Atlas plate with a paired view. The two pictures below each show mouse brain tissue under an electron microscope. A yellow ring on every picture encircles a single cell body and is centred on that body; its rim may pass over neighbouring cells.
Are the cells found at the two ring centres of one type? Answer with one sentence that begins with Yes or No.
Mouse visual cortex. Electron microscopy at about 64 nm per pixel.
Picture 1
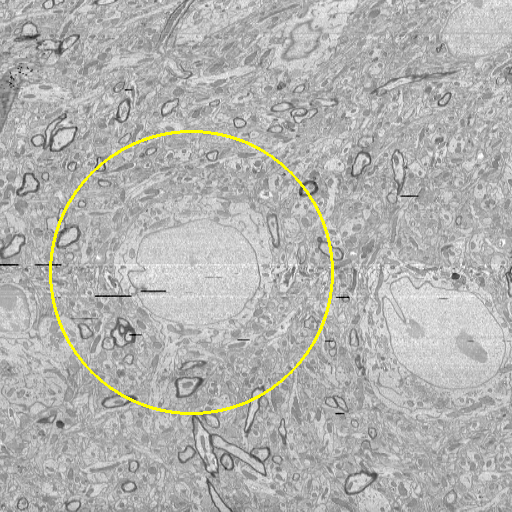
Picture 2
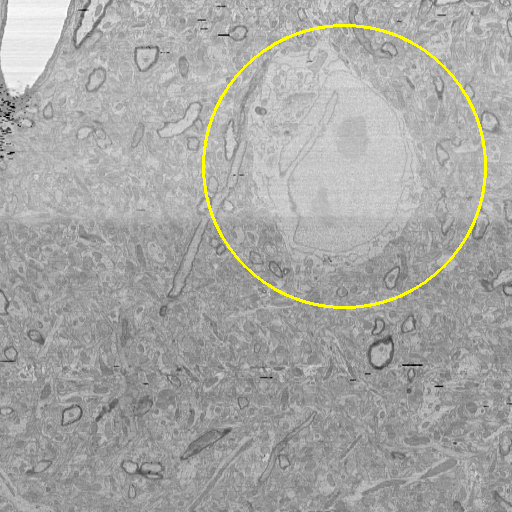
Yes, the two cells lying at the centres of the rings share a single type.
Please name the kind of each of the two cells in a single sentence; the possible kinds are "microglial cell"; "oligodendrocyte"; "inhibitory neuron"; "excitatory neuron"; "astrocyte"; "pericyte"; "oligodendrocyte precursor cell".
The cell in the first picture is an excitatory neuron, and so is the one in the second.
